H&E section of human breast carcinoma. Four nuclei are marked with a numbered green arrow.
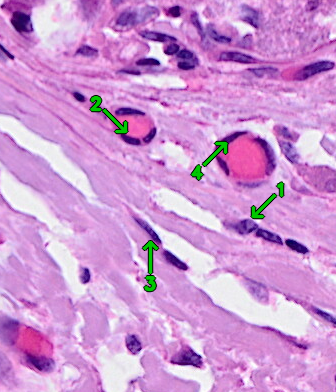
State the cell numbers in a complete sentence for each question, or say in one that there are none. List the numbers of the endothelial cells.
The cells referred to by numbers 2 and 4 are endothelial cells.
